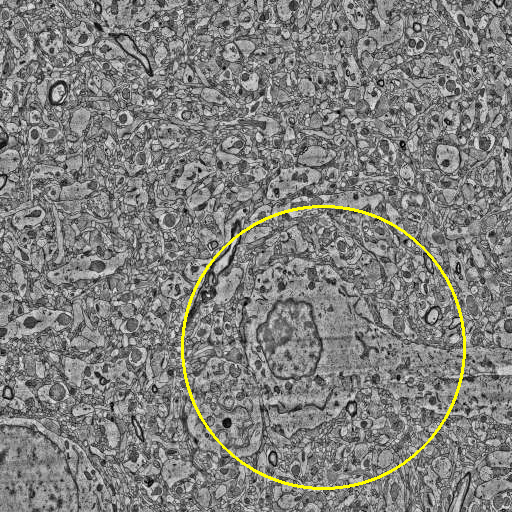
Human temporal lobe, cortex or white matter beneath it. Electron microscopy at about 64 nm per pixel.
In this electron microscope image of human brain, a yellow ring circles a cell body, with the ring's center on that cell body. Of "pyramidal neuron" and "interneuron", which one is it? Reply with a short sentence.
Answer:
It is a pyramidal neuron at the center of the ring.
